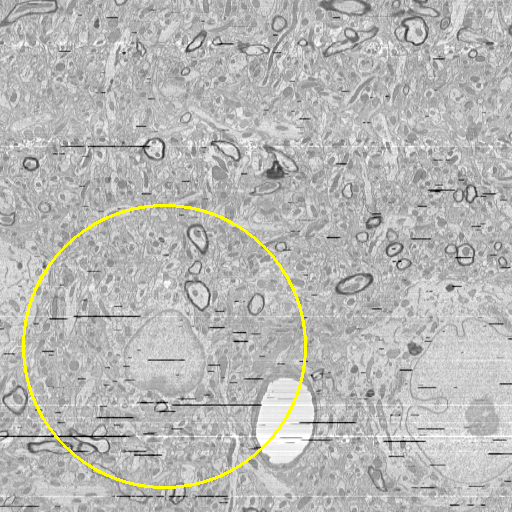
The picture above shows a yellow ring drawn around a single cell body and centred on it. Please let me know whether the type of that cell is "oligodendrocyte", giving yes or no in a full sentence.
No, the cell at the centre of the ring above has a different type.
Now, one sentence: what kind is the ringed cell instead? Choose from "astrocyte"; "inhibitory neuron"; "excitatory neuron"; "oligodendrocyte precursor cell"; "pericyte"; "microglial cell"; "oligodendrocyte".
The ring holds an astrocyte at its centre.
